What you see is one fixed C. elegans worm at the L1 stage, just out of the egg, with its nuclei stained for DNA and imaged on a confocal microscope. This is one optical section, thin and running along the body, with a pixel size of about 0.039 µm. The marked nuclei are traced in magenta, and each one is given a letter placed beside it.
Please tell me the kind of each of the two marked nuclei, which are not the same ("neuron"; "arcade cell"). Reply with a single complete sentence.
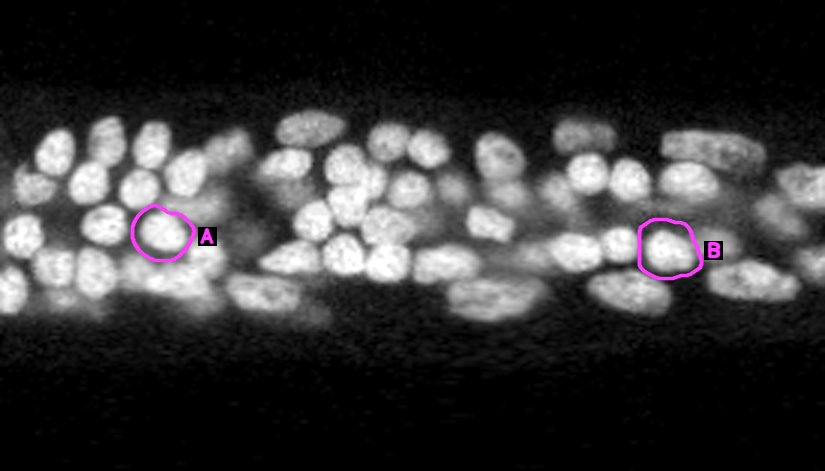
B belongs to an arcade cell, and A to a neuron.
